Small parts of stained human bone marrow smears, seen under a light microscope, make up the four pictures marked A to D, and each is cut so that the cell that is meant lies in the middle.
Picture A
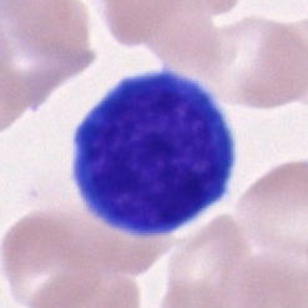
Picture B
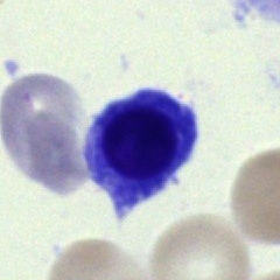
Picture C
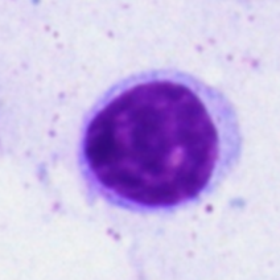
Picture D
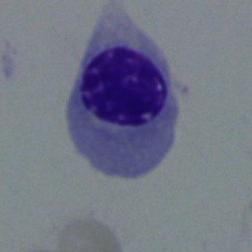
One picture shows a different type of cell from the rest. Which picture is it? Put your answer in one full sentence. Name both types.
The different one is picture C; it shows a lymphocyte, whereas all the others show erythroblasts.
